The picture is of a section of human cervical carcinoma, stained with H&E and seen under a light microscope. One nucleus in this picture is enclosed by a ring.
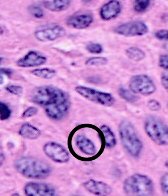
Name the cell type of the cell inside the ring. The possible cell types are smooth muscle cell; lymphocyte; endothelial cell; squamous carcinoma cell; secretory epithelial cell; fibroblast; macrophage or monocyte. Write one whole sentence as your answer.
The cell inside the ring is a squamous carcinoma cell.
